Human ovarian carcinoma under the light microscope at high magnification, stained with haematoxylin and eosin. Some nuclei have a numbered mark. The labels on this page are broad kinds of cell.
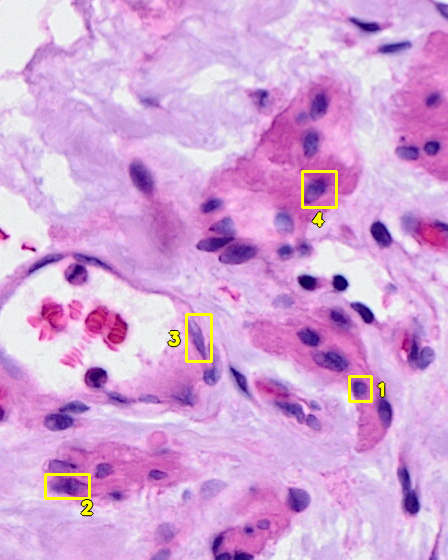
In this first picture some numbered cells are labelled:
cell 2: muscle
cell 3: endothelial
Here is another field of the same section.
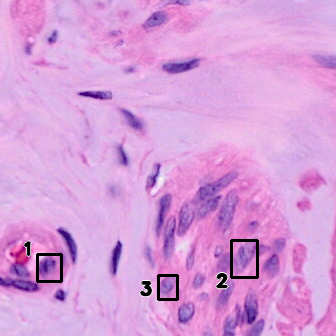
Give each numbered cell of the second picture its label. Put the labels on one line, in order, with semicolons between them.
endothelial; muscle; muscle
